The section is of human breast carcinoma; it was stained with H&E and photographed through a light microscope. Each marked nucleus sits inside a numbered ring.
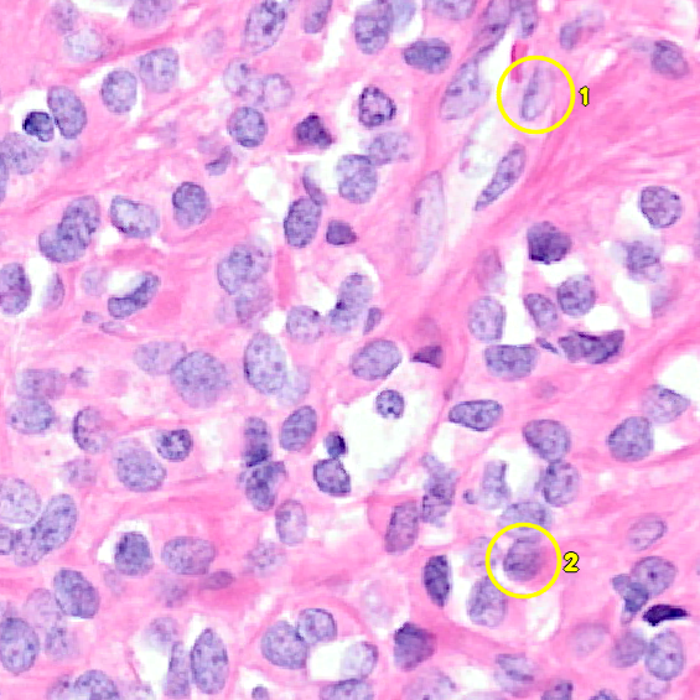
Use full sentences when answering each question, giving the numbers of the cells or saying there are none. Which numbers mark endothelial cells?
Across all the numbered cells, only number 1 is an endothelial cell.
